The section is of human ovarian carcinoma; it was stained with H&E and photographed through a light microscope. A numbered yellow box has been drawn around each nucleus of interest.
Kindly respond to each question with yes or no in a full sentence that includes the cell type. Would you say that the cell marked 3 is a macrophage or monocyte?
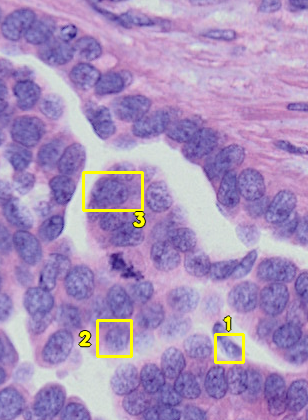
No, cell 3 is to be classed as a carcinoma cell, not a macrophage or monocyte.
